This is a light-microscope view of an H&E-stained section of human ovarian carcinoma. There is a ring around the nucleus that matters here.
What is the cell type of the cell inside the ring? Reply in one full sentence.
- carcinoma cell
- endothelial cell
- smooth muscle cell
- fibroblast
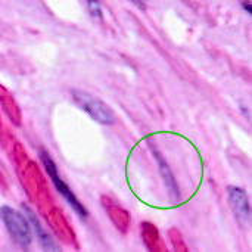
In the tissue under study, the cell inside the ring is a fibroblast.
